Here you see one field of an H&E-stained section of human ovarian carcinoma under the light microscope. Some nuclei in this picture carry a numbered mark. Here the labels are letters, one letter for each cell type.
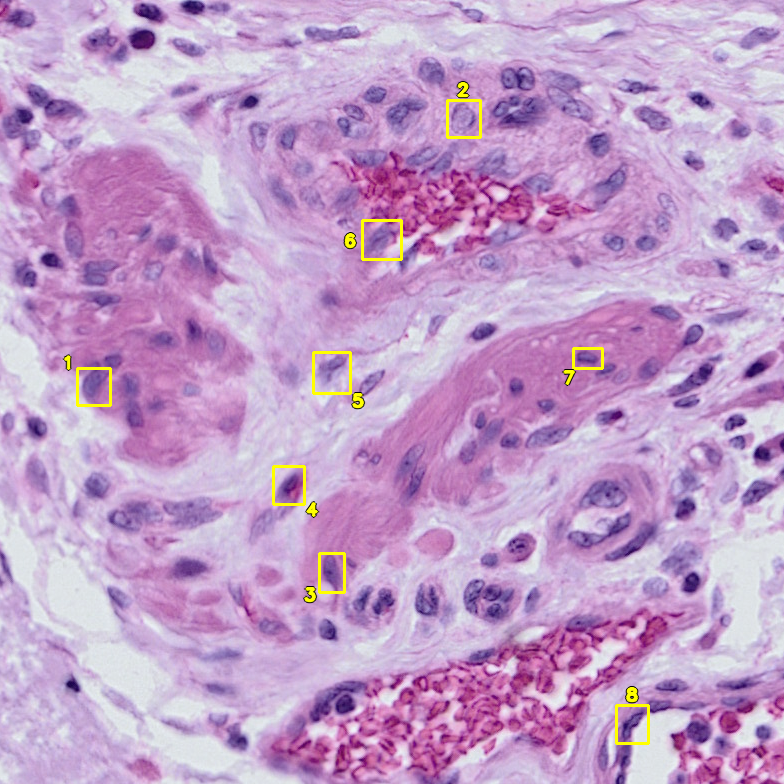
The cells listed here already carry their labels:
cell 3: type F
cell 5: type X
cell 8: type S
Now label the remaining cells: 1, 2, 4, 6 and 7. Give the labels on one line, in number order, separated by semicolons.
type F; type X; type S; type S; type F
